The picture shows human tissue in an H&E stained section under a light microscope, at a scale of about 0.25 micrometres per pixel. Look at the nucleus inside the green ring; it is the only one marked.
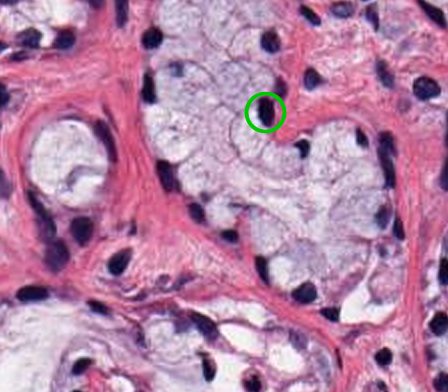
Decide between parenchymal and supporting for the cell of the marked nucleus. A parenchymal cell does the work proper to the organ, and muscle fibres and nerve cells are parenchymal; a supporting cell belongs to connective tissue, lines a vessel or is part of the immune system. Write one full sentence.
The marked nucleus is that of a cell of the parenchyma, namely a mucous gland cell.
